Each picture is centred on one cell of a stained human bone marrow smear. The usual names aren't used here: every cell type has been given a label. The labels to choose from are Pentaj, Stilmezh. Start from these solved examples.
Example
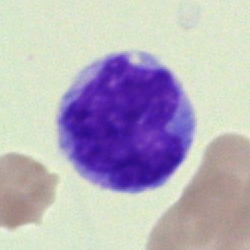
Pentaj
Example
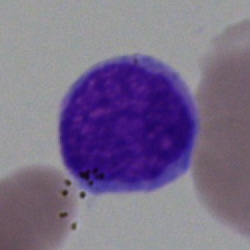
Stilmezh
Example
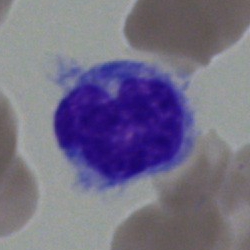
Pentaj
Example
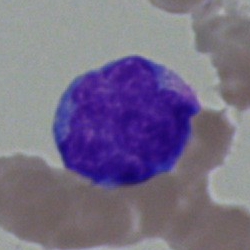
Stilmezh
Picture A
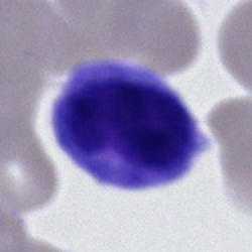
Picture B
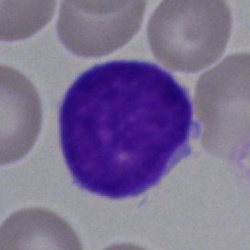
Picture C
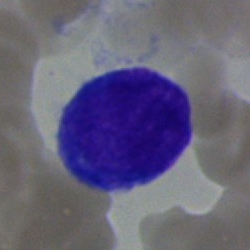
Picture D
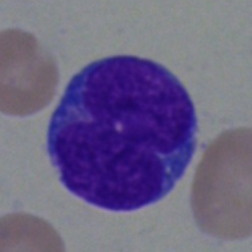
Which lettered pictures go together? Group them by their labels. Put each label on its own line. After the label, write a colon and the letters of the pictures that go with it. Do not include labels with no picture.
Pentaj: A
Stilmezh: B, C, D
